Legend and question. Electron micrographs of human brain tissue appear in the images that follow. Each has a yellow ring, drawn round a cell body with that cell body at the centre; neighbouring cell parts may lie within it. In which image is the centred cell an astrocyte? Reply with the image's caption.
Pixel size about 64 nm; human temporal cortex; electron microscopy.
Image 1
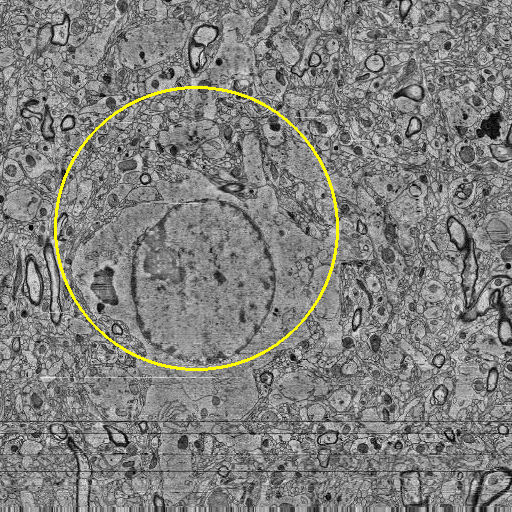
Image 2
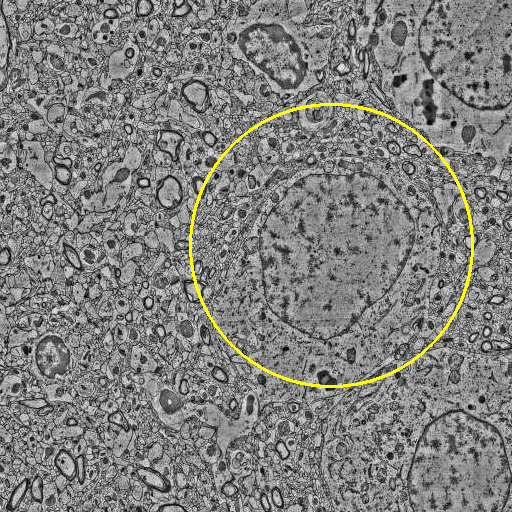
Image 1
